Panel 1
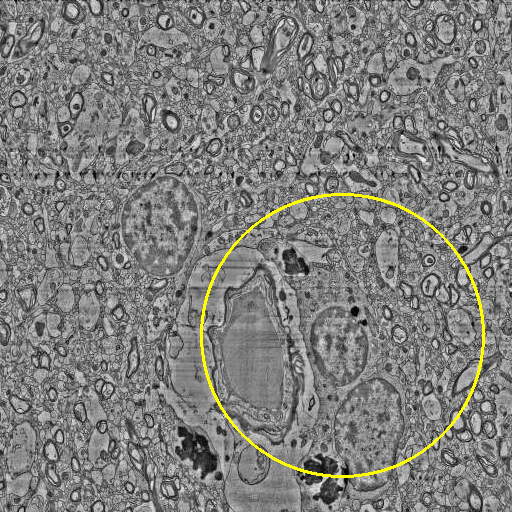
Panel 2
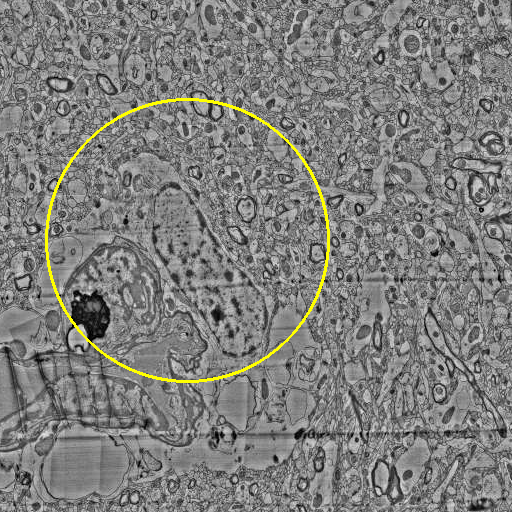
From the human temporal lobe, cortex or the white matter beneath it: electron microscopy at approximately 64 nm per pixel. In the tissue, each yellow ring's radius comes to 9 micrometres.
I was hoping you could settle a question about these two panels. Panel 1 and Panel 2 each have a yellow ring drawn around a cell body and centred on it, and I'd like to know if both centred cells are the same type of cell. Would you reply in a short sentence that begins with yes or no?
No, they are two types of cell.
